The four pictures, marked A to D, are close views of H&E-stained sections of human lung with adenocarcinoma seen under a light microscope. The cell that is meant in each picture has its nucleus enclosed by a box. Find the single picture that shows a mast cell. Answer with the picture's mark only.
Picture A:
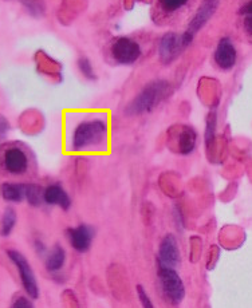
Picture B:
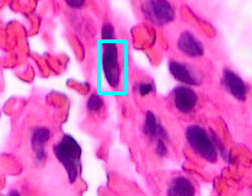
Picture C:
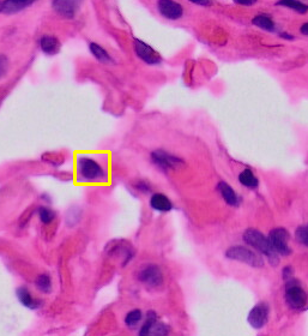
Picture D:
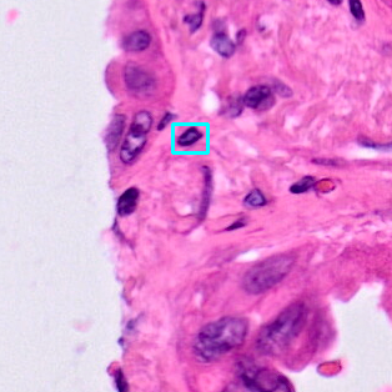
D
